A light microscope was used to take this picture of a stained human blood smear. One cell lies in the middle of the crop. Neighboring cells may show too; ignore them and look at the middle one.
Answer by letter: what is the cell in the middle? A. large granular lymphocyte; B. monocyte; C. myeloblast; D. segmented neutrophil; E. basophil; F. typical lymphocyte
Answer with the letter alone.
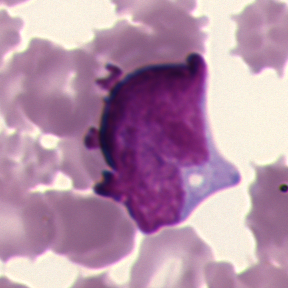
C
